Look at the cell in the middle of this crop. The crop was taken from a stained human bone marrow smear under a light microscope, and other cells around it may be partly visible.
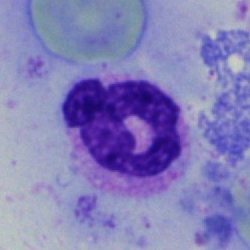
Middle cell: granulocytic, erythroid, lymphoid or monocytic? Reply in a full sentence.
The cell in the middle falls under the granulocytic lineage.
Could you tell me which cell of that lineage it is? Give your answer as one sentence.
What sits at the centre of this crop is a segmented neutrophil.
